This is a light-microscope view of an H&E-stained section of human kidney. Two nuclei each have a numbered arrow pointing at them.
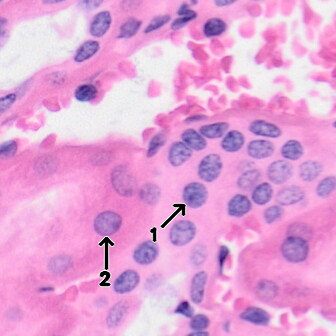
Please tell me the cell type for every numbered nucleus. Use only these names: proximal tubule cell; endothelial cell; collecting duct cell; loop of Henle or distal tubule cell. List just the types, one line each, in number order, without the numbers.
collecting duct cell
proximal tubule cell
